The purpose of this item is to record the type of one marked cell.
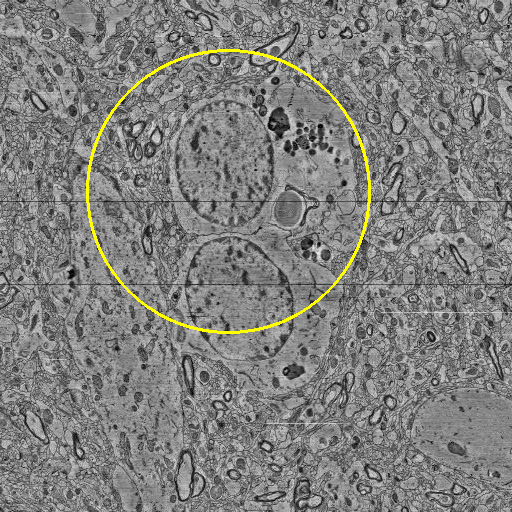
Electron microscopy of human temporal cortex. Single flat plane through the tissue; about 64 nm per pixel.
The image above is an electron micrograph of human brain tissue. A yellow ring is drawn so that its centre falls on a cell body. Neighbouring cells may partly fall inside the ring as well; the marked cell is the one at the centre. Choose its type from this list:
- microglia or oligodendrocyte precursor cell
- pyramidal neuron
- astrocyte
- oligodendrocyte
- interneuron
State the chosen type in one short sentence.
What the ring marks here is an astrocyte.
